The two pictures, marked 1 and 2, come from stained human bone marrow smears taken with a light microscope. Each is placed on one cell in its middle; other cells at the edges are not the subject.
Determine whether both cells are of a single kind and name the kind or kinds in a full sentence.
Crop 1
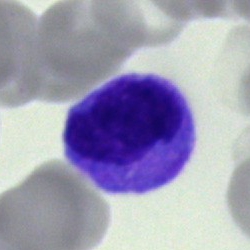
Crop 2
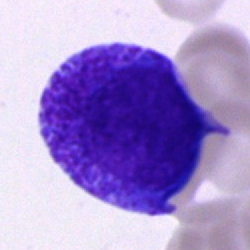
No, it is a monocyte that crop 1 shows, and a promyelocyte that crop 2 shows.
